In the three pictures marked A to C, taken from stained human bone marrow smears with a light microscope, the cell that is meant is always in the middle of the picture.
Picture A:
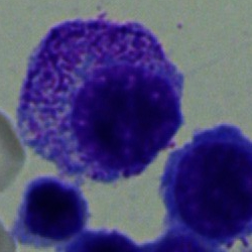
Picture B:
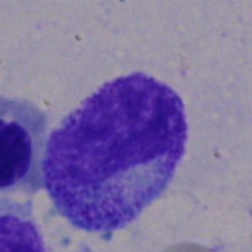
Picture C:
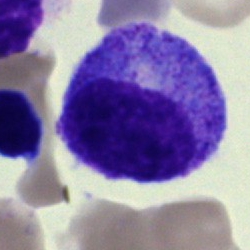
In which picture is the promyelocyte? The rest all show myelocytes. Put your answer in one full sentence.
Picture C shows the promyelocyte.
